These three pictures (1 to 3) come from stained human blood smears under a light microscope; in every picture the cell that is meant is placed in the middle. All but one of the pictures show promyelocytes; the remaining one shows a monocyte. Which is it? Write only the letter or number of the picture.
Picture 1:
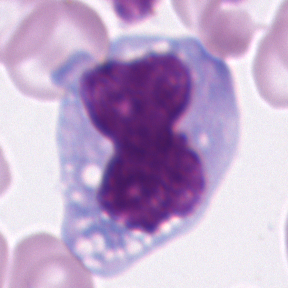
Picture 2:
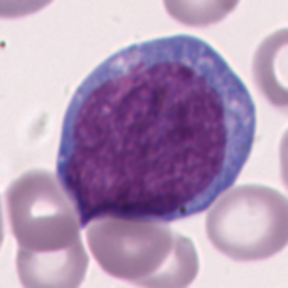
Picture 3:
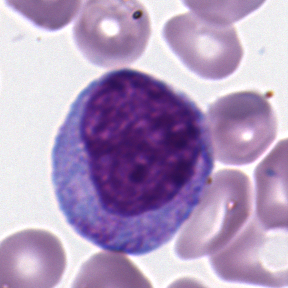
1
